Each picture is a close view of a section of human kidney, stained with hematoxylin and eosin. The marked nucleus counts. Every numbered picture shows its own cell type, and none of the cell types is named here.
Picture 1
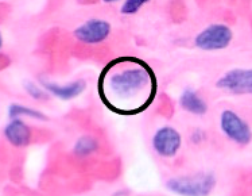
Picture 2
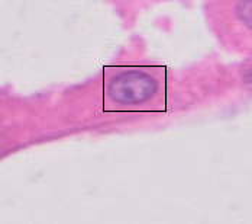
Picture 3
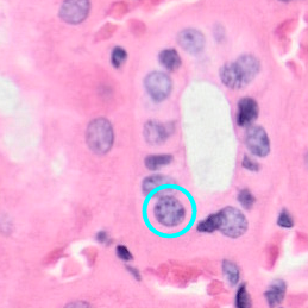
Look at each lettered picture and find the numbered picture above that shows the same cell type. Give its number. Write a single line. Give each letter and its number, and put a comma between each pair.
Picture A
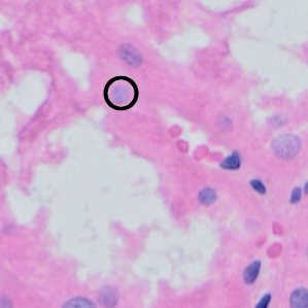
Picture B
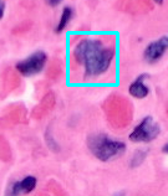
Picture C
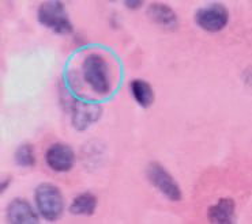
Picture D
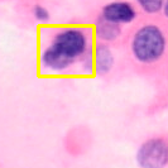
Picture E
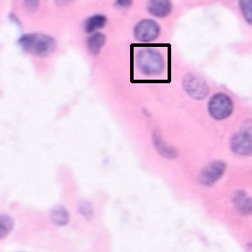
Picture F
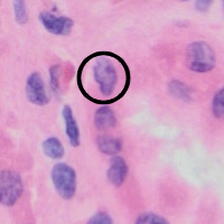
A 2, B 1, C 3, D 3, E 3, F 2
